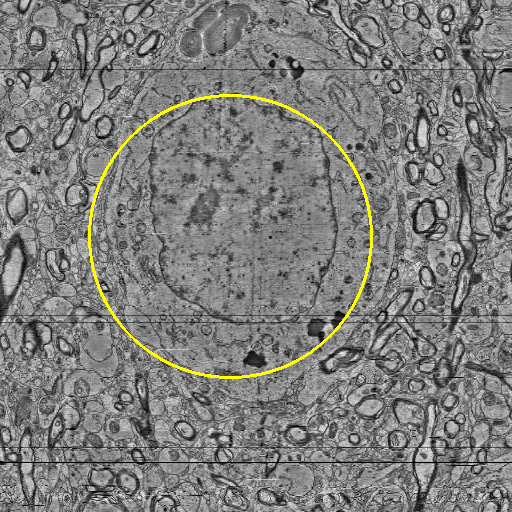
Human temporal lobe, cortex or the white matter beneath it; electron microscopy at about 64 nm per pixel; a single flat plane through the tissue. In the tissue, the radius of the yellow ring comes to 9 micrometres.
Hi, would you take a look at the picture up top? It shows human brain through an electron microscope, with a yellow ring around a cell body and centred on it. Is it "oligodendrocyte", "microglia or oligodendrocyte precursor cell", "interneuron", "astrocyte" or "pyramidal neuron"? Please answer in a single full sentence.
The best fit for the cell in the middle of the ring is a pyramidal neuron, I reckon.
